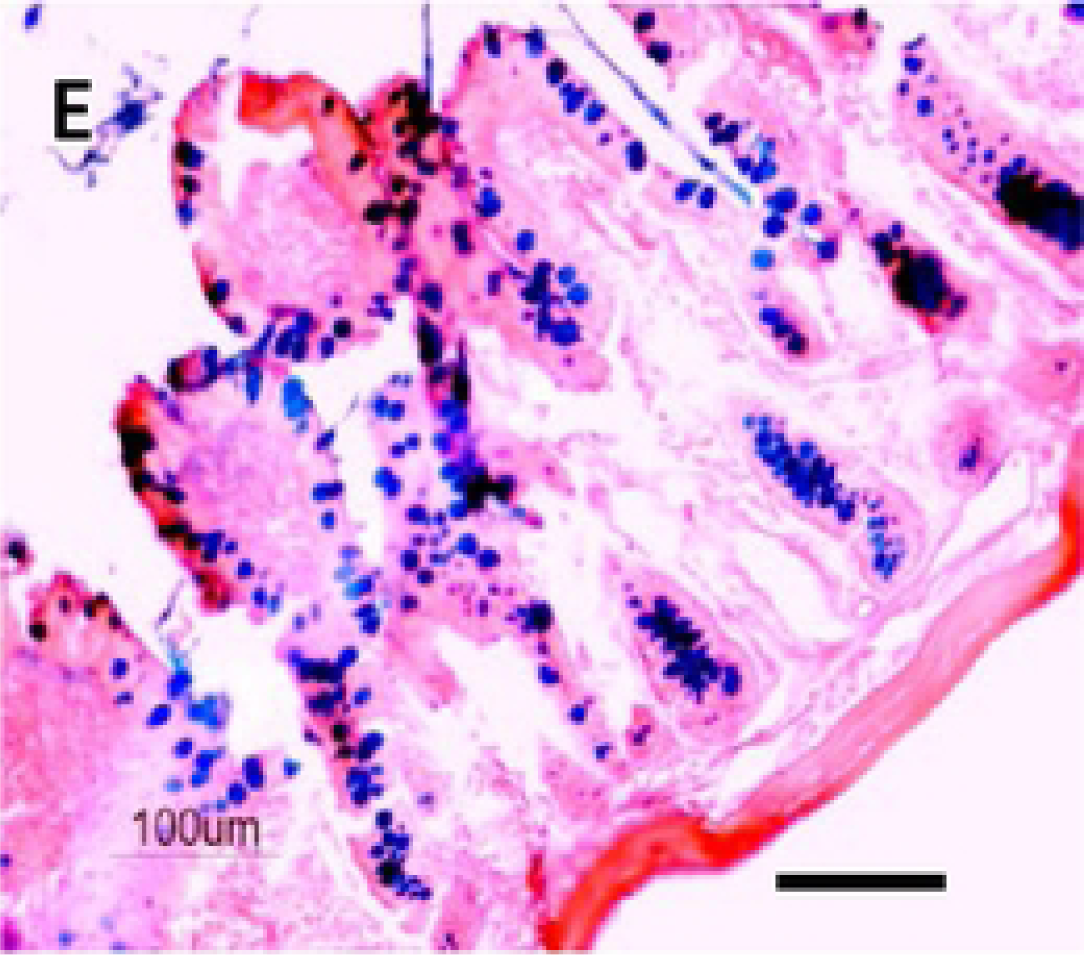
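Section of small intestinal wall with broad finger-like villi stained pink, and a deep pink muscular layer along the lower right edge. Along the epithelium lining the villi and in the crypt regions lie very many rounded cells whose contents are filled with blue stain, often crowded together in dense clusters, some appearing almost black where they pile up. The blue cells stand out sharply against the pale pink core of the villi. These are mucus-filled goblet cells, abundant and densely packed here, far more than in an ordinary intestinal lining, showing an expansion of the goblet cell population.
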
